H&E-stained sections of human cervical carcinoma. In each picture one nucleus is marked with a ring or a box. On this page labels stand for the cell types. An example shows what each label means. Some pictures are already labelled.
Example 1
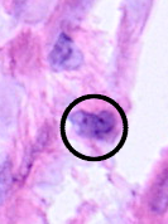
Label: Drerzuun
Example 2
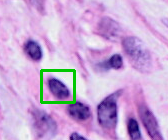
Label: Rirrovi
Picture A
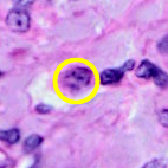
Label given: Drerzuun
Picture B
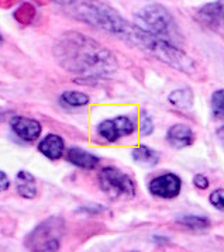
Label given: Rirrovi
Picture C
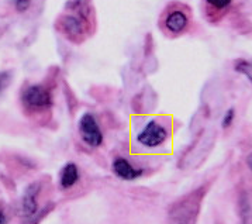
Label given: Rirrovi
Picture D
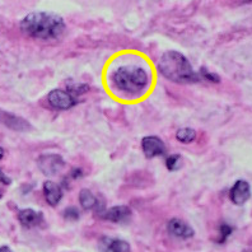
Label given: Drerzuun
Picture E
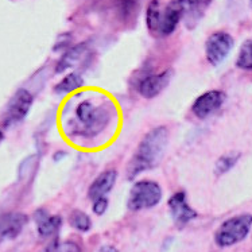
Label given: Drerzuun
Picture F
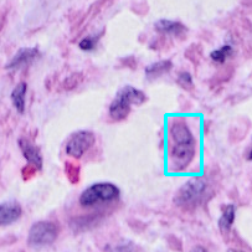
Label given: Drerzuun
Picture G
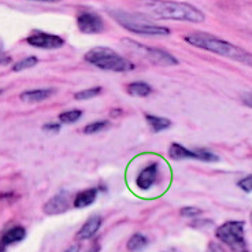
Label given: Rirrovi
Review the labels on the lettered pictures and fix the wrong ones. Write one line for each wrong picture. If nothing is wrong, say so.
None of the labels needs changing.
